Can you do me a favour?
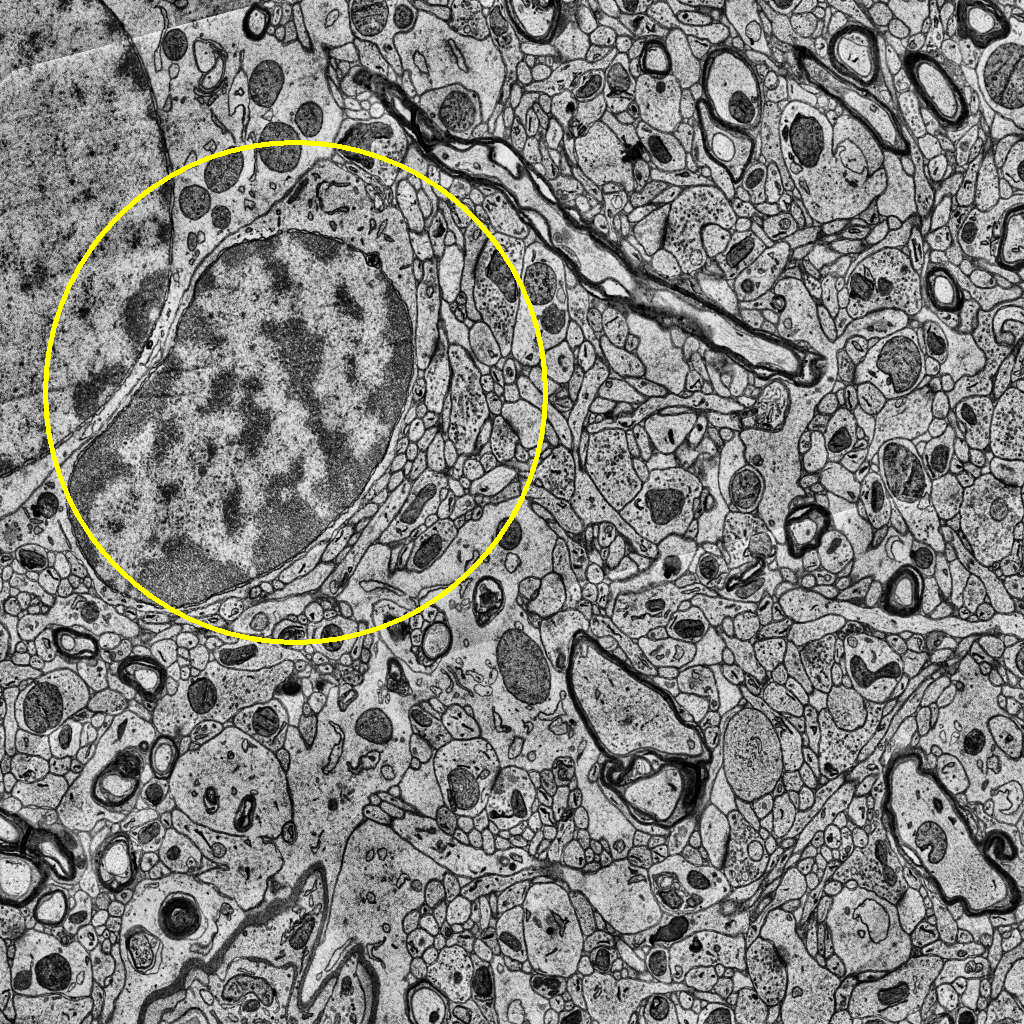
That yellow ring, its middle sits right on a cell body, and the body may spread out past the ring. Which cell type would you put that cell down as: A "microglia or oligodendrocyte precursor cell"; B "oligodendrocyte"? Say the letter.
A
